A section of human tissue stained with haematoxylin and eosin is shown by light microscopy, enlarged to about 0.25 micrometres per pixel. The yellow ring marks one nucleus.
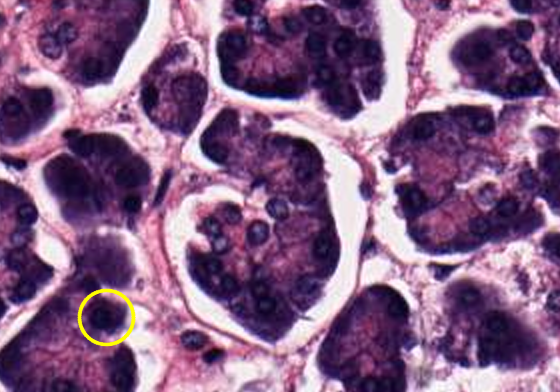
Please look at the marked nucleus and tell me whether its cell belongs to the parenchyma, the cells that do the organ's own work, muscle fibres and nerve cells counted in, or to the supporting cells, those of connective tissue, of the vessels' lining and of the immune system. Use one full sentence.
In this section the marked nucleus belongs to a parenchymal cell, namely a pancreatic acinar cell.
